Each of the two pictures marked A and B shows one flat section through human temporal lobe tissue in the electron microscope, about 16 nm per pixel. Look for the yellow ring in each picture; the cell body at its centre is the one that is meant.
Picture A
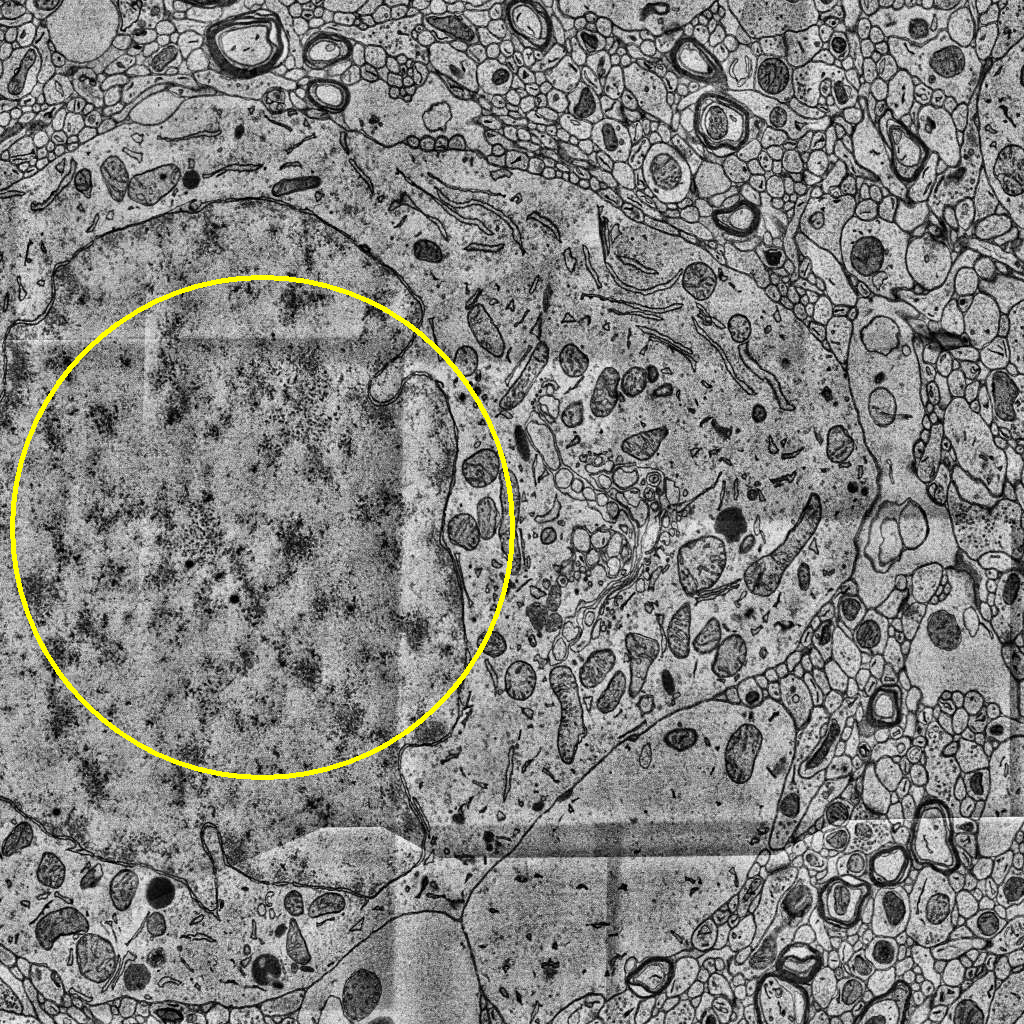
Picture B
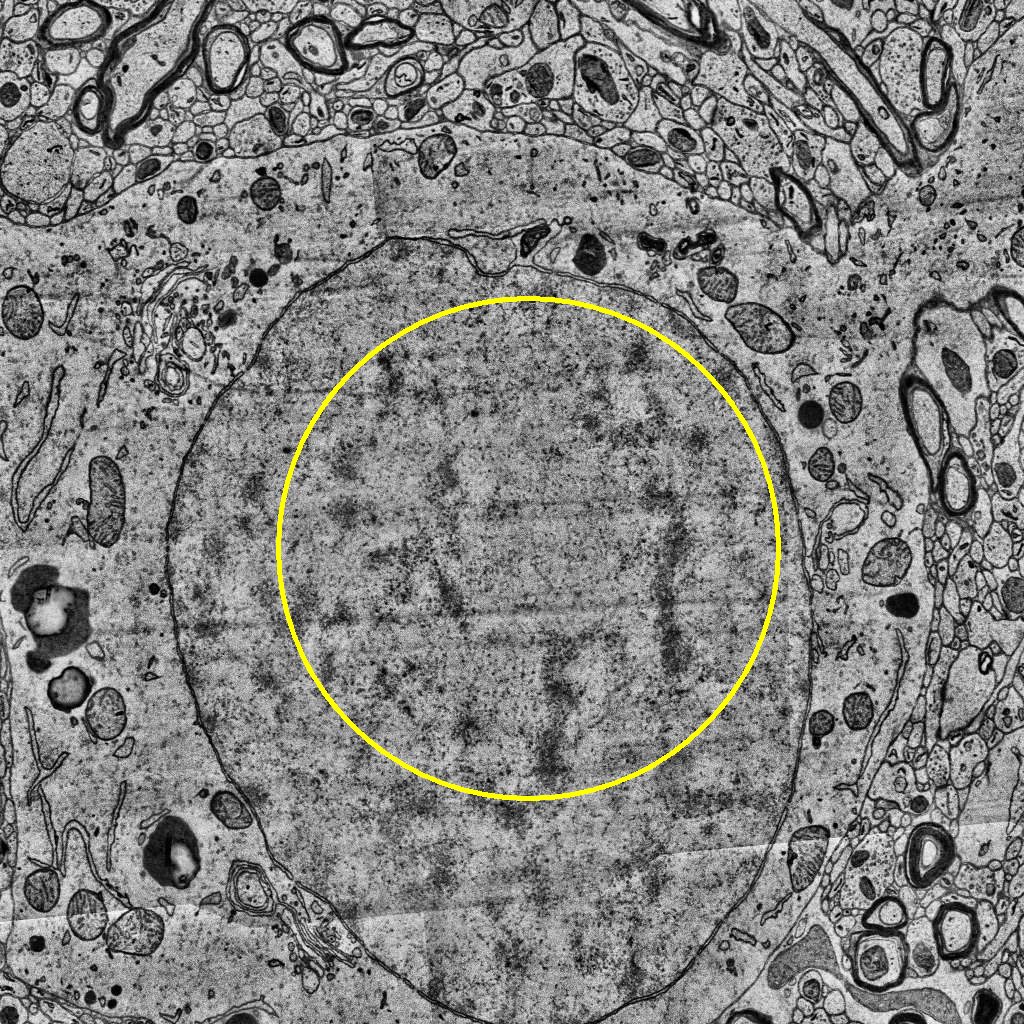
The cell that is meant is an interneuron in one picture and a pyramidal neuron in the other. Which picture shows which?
Picture B shows a pyramidal neuron, while picture A shows an interneuron.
